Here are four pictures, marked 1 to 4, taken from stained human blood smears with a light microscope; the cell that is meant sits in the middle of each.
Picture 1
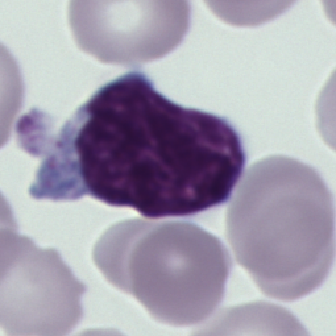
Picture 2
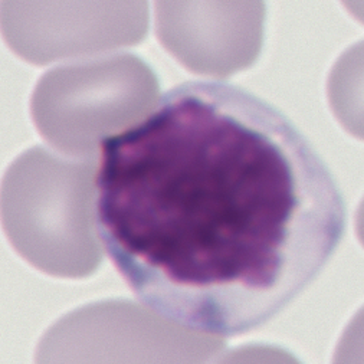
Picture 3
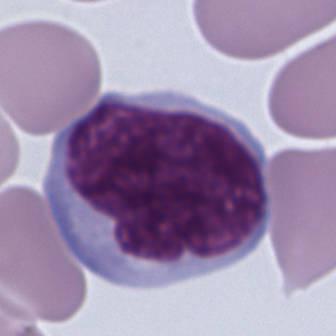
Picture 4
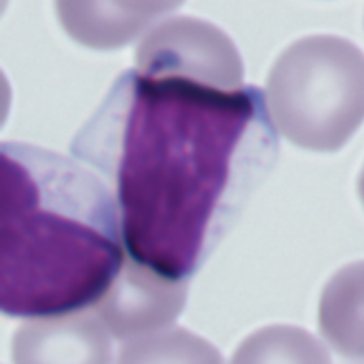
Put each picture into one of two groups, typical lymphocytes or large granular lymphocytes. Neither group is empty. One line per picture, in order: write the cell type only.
typical lymphocyte
large granular lymphocyte
typical lymphocyte
large granular lymphocyte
